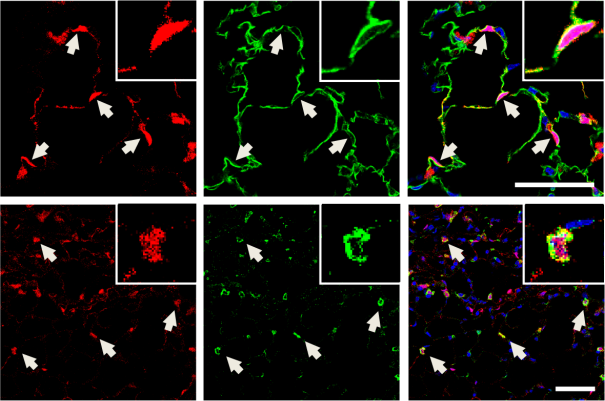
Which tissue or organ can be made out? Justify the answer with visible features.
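Lung. Thin septa enclose large empty rounded air spaces. Walls are only a few cells thick.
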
